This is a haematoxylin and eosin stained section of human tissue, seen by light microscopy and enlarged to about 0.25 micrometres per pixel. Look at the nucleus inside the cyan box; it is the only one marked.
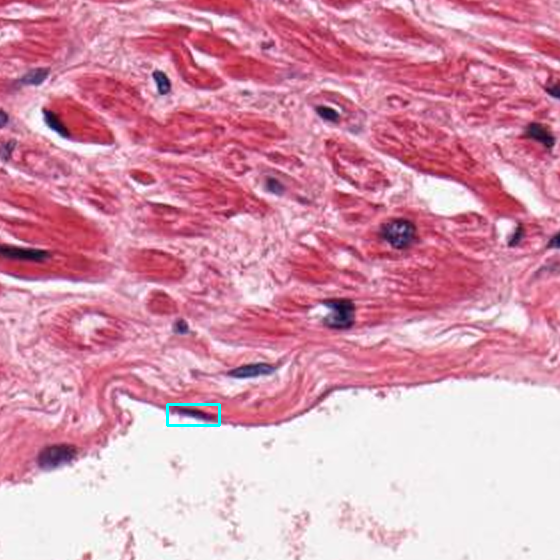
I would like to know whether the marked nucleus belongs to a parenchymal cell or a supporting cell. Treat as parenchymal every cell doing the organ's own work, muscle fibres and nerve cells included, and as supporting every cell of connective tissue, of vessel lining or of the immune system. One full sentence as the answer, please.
In this section, a supporting cell is the cell with the marked nucleus.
